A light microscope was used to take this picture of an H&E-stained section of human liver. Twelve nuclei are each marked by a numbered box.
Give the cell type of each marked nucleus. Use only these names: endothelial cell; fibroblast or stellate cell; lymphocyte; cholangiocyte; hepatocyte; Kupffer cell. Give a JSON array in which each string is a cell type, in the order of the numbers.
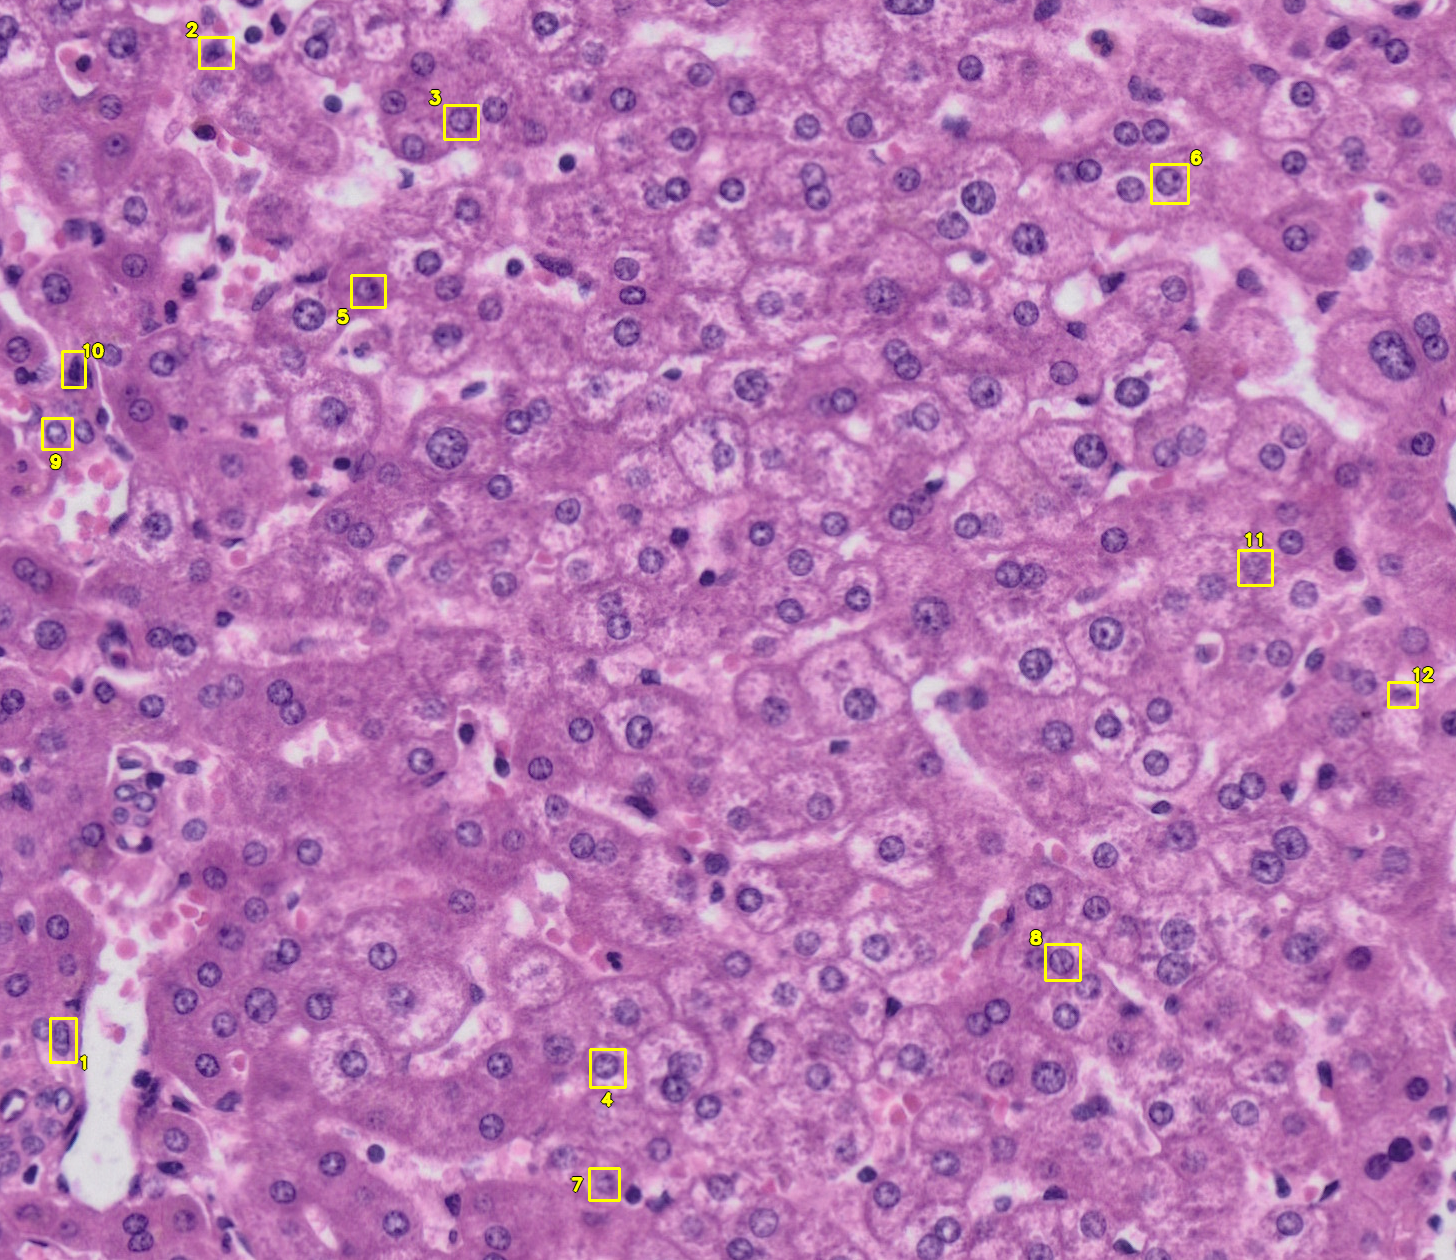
["cholangiocyte", "fibroblast or stellate cell", "hepatocyte", "hepatocyte", "hepatocyte", "hepatocyte", "hepatocyte", "hepatocyte", "cholangiocyte", "fibroblast or stellate cell", "hepatocyte", "endothelial cell"]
